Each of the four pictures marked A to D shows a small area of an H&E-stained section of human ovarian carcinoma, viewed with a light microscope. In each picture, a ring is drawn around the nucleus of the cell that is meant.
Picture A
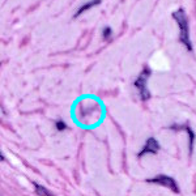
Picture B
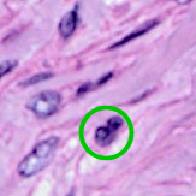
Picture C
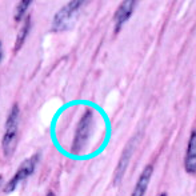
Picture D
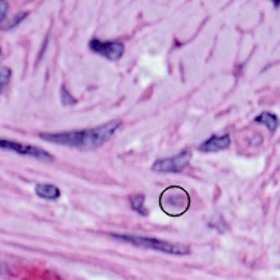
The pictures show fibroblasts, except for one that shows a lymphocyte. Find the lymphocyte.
B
